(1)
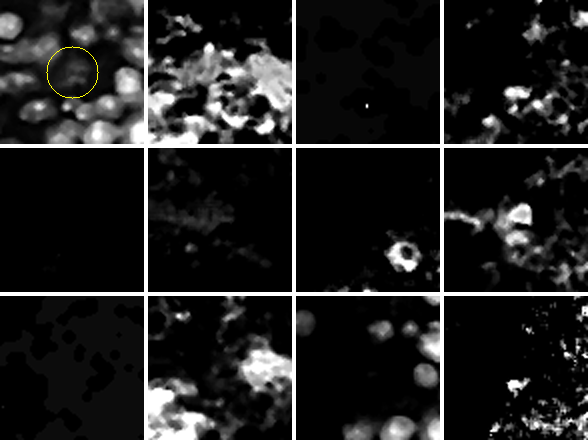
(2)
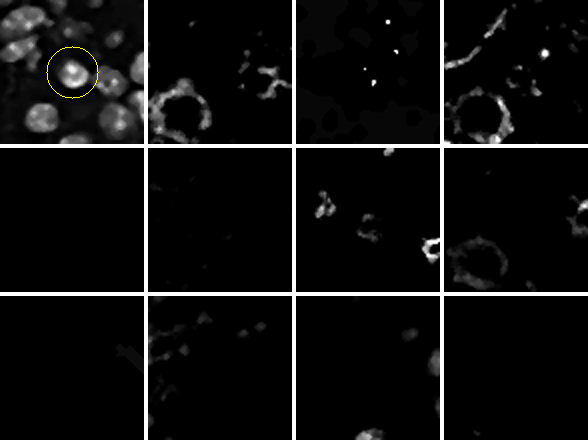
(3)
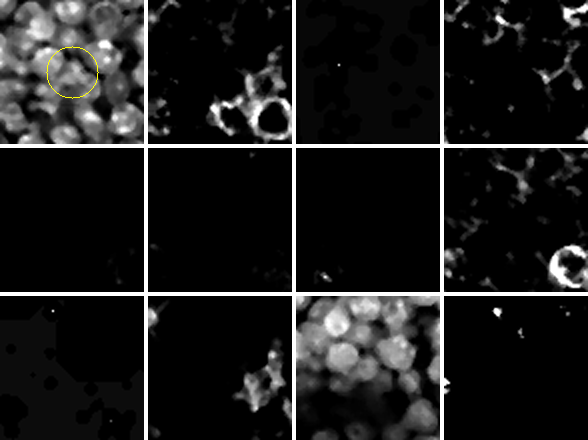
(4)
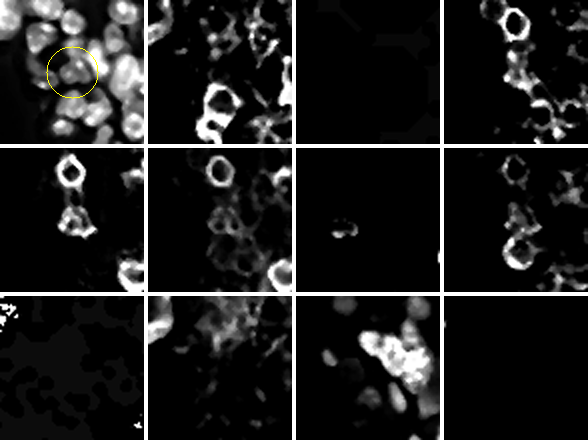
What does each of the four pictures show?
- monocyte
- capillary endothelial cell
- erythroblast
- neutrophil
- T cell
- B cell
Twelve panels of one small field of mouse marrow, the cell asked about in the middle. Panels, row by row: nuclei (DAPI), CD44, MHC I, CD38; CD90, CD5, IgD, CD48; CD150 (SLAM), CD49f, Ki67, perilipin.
Picture 1: monocyte
Picture 2: erythroblast
Picture 3: erythroblast
Picture 4: T cell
